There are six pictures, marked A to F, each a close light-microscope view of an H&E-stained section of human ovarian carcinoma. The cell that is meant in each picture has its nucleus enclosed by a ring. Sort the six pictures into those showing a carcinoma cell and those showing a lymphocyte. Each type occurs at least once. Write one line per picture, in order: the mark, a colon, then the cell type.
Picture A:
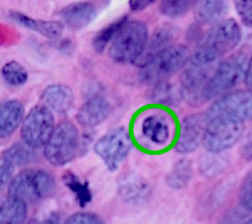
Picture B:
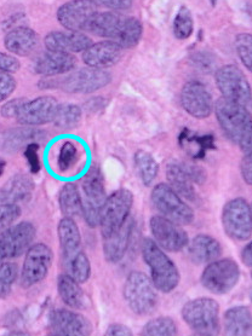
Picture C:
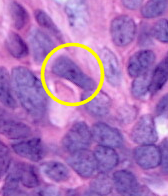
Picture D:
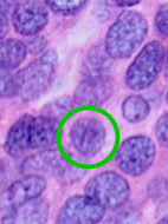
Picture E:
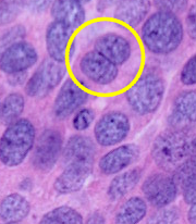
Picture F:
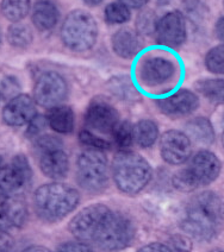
A: lymphocyte
B: lymphocyte
C: carcinoma cell
D: carcinoma cell
E: carcinoma cell
F: carcinoma cell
